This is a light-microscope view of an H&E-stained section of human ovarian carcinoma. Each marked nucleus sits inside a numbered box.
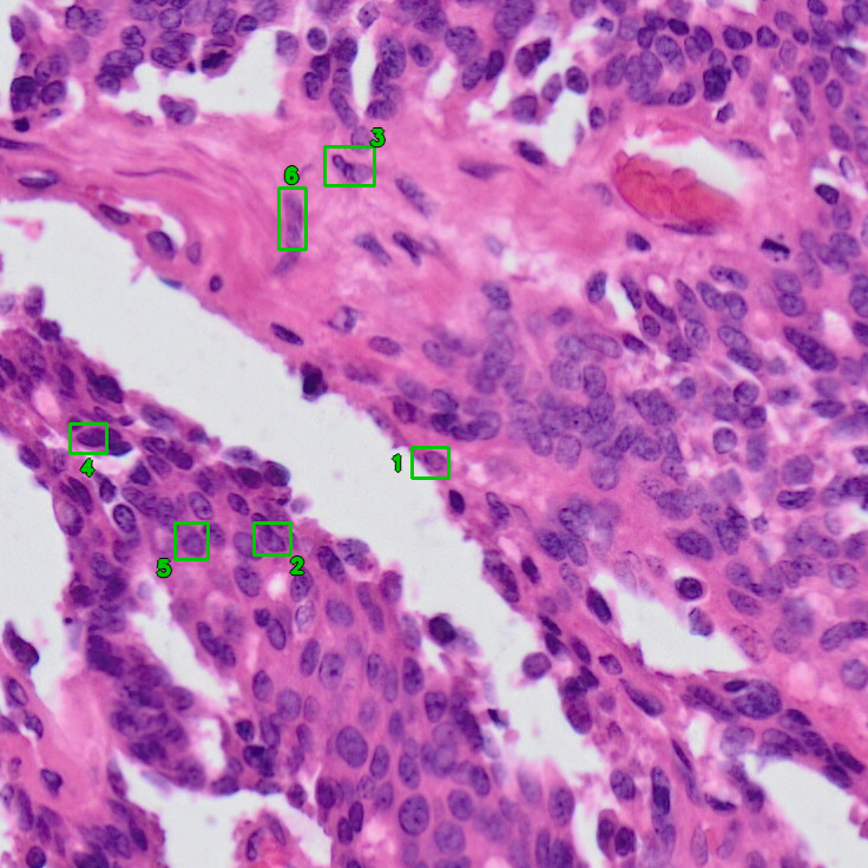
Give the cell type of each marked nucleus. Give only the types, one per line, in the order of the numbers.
macrophage or monocyte
carcinoma cell
fibroblast
carcinoma cell
carcinoma cell
fibroblast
